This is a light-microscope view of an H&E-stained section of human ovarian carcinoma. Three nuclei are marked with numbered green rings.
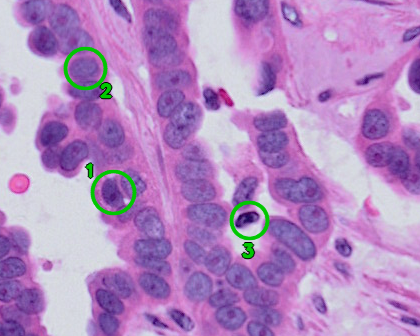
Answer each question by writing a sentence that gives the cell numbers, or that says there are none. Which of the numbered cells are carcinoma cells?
The cells marked with the numbers 1 and 2 are carcinoma cells.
